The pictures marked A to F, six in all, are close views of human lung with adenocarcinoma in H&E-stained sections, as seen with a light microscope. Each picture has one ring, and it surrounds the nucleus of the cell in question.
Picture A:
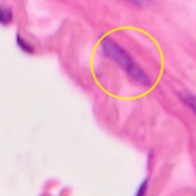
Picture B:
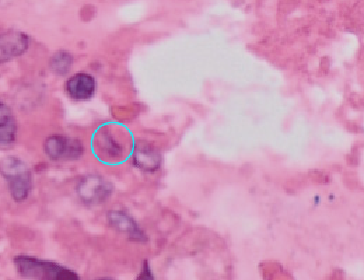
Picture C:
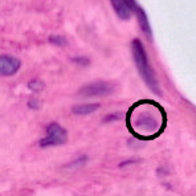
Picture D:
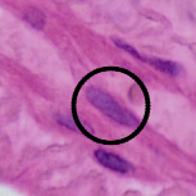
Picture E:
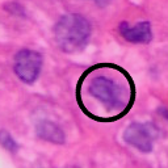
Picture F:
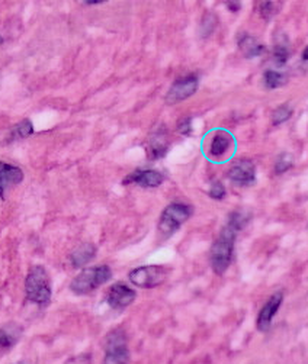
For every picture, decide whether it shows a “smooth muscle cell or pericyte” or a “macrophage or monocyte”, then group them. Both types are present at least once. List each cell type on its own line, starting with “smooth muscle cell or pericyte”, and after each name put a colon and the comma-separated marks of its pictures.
smooth muscle cell or pericyte: A, C, D, F
macrophage or monocyte: B, E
